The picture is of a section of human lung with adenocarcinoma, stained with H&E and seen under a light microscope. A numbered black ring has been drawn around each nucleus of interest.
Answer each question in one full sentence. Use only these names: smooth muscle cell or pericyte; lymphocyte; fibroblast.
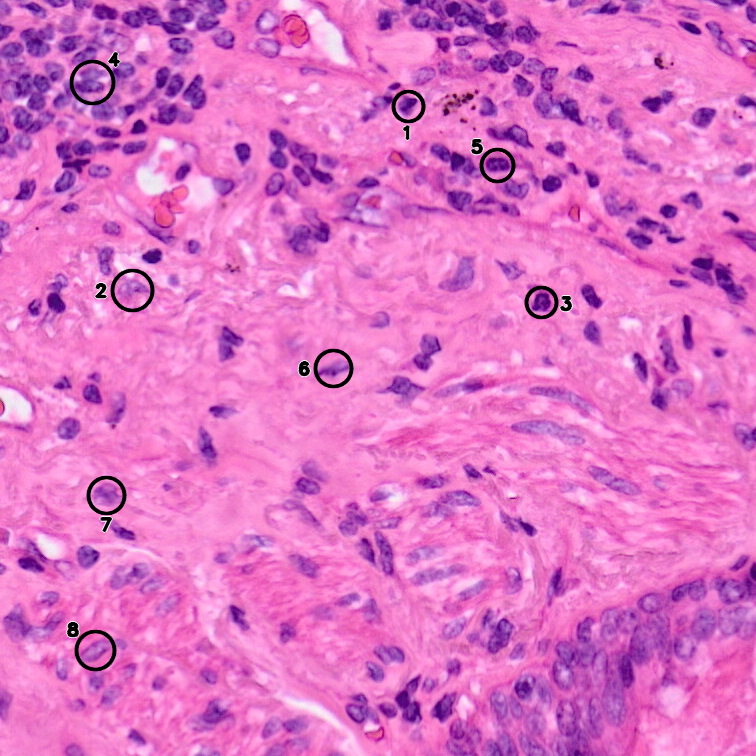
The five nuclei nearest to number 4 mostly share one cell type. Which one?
Most of the five nuclei nearest to number 4 are those of lymphocytes.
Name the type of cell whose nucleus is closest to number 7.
Closest to number 7 lies the nucleus of a fibroblast.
